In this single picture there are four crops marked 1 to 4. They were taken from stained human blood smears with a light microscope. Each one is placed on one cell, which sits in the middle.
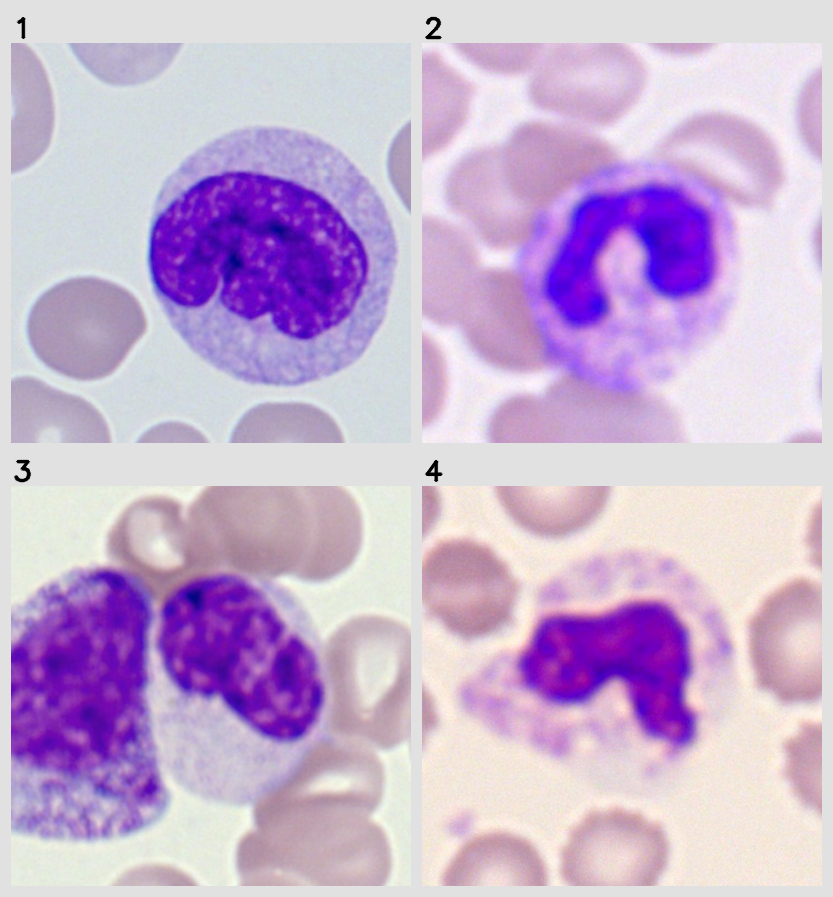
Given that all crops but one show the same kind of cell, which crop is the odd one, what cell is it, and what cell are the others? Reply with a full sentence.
A different cell type, a monocyte, occupies crop 1; the other crops show band neutrophils.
